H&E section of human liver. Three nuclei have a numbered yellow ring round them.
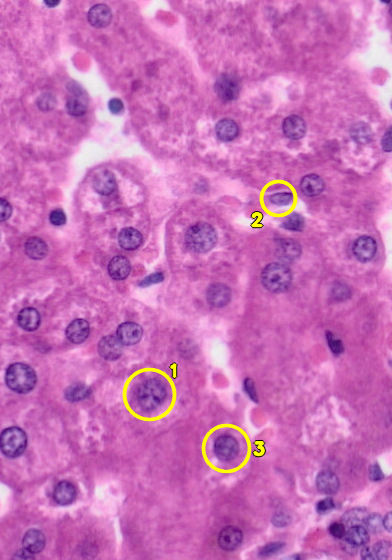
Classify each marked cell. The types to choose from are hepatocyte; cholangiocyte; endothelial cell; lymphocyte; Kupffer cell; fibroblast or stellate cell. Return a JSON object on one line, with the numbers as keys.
{"1": "hepatocyte", "2": "Kupffer cell", "3": "hepatocyte"}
